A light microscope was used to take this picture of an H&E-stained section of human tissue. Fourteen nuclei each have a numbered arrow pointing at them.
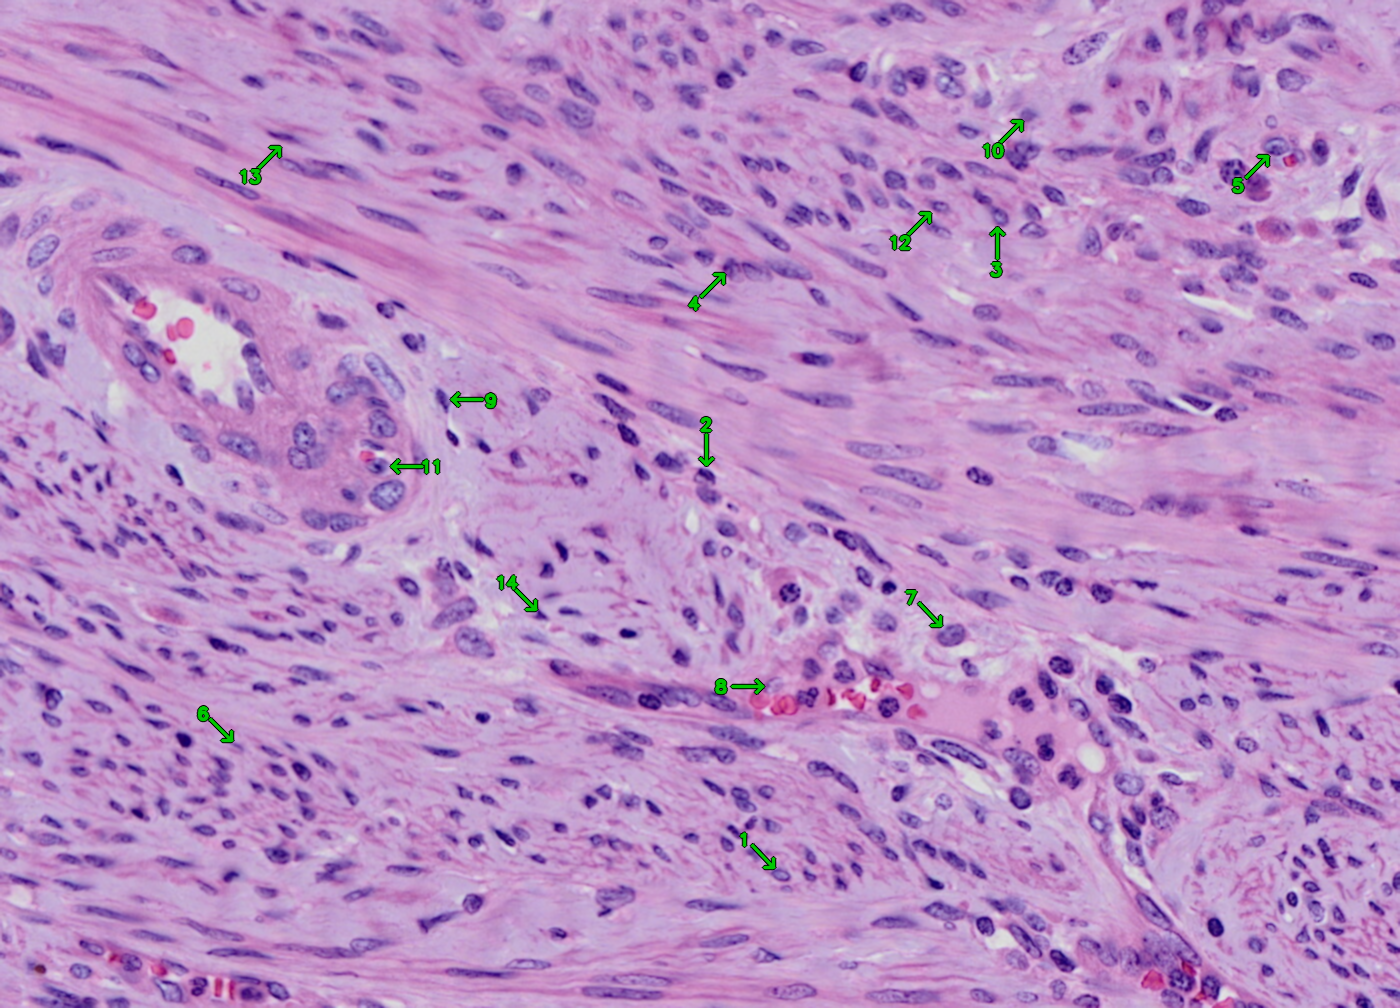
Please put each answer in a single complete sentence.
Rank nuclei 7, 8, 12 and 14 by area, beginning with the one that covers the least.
From smallest to largest, the order is 14, 12, 8, 7.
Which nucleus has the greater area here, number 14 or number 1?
Nucleus 1 is the larger one, covering about 1.5 times the area of nucleus 14.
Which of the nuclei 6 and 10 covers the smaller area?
Nucleus 6 covers less area, with nucleus 10 about 2 times as large.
